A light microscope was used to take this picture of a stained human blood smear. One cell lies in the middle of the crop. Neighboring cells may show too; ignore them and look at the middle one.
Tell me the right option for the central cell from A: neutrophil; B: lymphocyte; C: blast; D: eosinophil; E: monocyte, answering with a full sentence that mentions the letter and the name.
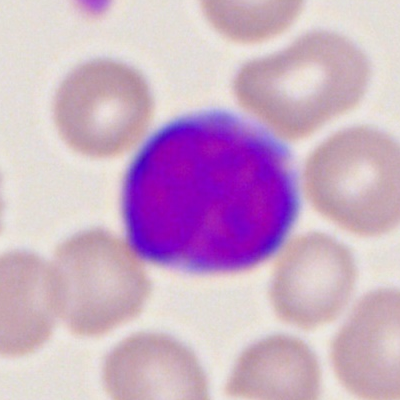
Identification: the cell in the middle is a blast, matching option C.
